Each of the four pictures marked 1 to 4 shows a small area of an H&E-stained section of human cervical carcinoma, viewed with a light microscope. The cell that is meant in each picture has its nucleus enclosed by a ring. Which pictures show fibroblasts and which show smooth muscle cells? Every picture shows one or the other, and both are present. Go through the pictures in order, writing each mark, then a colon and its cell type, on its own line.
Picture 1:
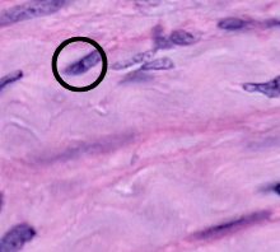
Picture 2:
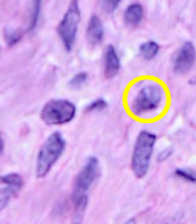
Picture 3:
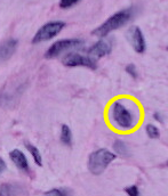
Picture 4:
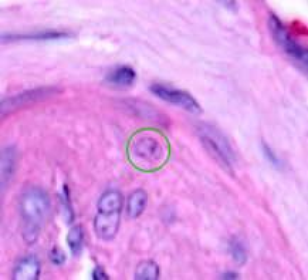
1: fibroblast
2: fibroblast
3: fibroblast
4: smooth muscle cell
